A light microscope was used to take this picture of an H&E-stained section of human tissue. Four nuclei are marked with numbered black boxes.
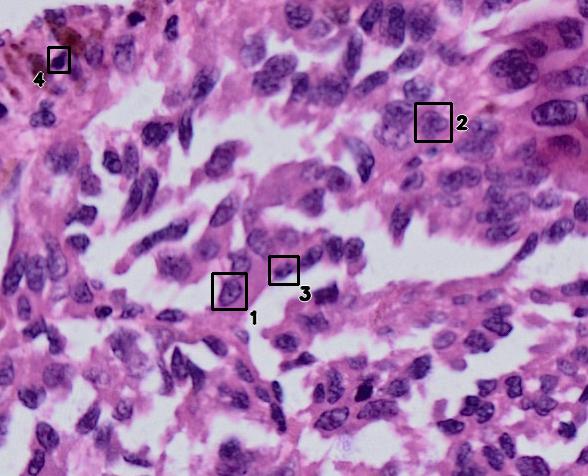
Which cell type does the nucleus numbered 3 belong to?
melanoma cell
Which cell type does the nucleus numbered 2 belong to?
melanoma cell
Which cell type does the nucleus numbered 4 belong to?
lymphocyte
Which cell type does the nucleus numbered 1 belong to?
melanoma cell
